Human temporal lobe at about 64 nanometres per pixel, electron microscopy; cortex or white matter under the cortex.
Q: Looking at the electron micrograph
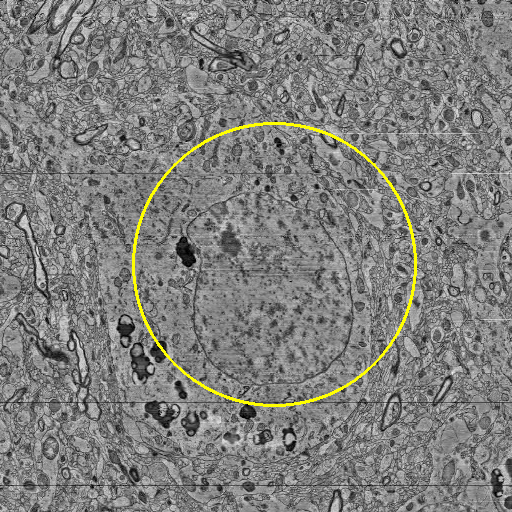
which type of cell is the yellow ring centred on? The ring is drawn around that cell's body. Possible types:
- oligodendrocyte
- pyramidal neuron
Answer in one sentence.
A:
The yellow ring is centred on a pyramidal neuron.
